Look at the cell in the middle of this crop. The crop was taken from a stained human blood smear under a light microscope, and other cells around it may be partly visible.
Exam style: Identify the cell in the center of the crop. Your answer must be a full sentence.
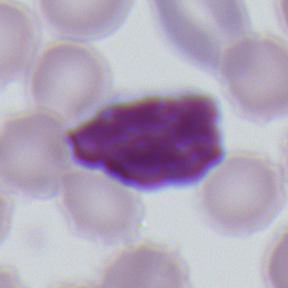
For this crop, the central cell is a typical lymphocyte.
